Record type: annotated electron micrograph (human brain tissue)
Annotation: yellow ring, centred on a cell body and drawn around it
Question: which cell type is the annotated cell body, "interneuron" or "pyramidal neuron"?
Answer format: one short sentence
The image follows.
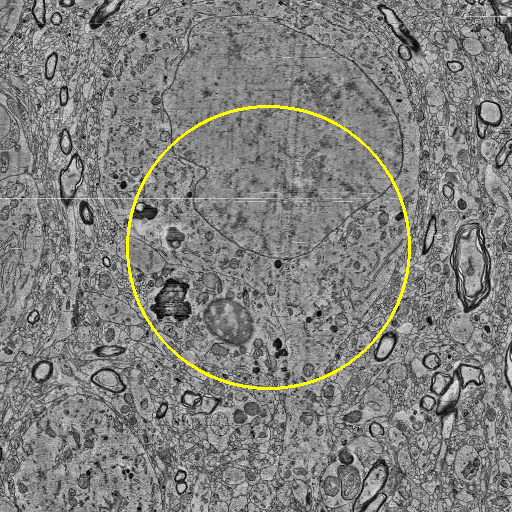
The annotated cell body is that of a pyramidal neuron.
